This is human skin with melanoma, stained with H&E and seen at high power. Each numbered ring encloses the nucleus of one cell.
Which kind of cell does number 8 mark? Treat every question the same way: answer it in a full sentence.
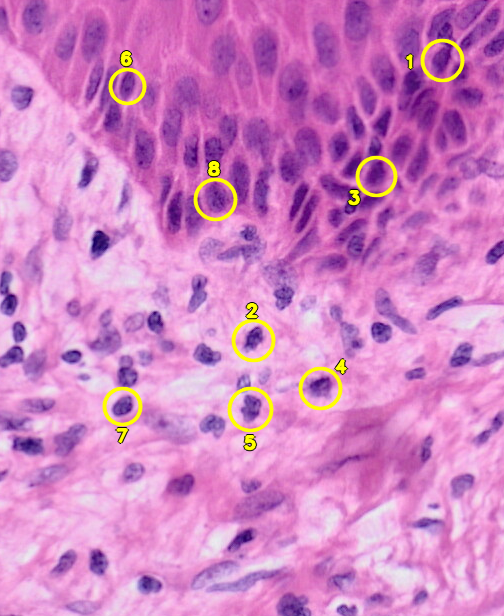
The cell pointed out as number 8 is a keratinocyte.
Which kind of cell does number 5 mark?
Number 5 among the marked cells is a lymphocyte.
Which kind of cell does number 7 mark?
As for number 7, that cell is a lymphocyte.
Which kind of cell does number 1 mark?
Looking at the numbered marks, cell 1 is a keratinocyte.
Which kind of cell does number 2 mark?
The cell that carries the label 2 is a lymphocyte.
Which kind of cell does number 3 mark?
The numeral 3 marks a keratinocyte in this section.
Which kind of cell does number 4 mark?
The marked cell bearing number 4 is a lymphocyte.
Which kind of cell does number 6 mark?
To a keratinocyte belongs the nucleus marked 6.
